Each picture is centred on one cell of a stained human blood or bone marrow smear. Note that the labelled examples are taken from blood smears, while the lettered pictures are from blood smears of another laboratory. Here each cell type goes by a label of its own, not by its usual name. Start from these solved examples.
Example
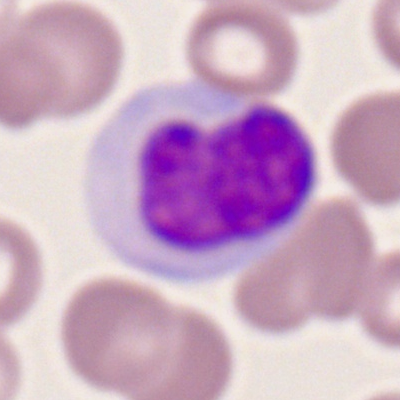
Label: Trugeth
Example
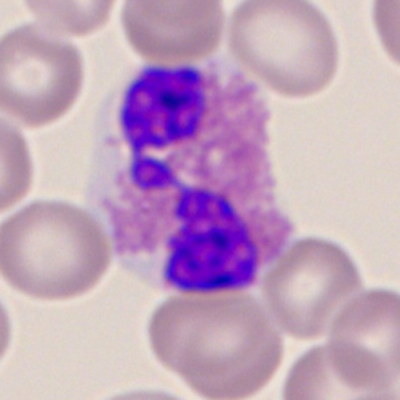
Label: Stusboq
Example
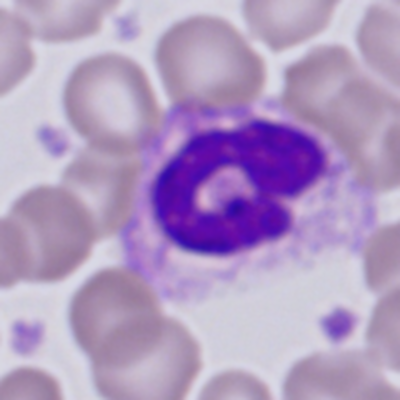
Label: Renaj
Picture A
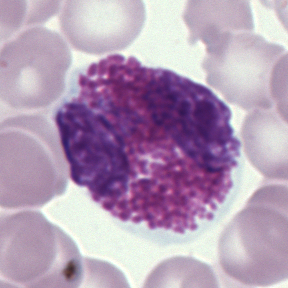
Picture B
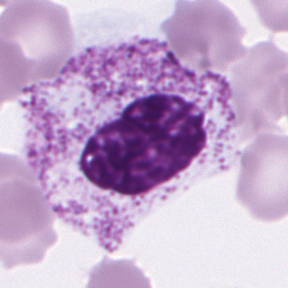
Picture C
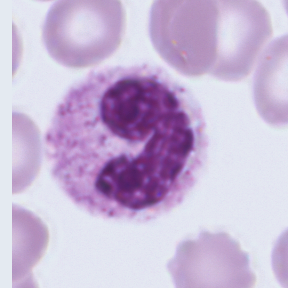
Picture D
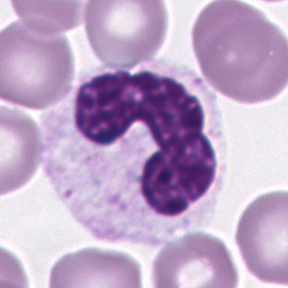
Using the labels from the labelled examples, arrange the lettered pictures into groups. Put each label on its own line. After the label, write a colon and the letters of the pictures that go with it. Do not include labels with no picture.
Stusboq: A
Renaj: B, C, D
